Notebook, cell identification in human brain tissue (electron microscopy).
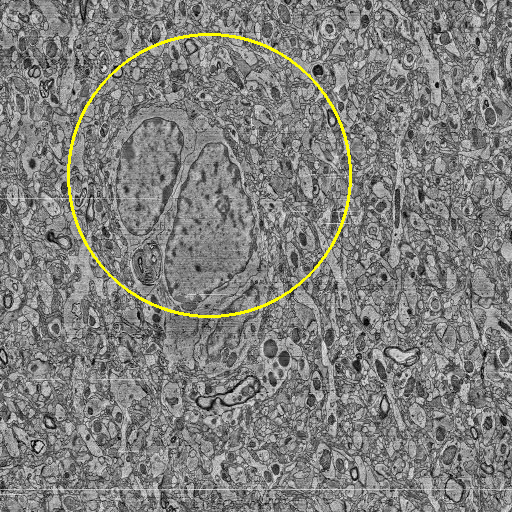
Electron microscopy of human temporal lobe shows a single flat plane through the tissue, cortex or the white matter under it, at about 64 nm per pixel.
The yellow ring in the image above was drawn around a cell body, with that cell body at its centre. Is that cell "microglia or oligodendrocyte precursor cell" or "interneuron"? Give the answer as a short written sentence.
The cell in the ring is a microglial cell or oligodendrocyte precursor cell.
